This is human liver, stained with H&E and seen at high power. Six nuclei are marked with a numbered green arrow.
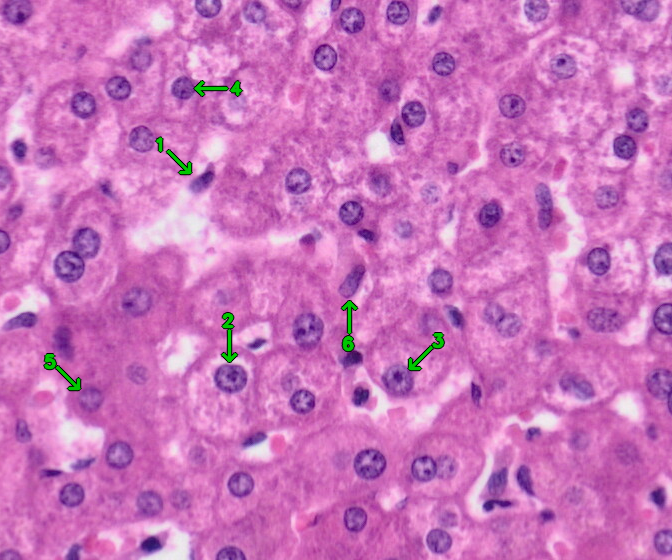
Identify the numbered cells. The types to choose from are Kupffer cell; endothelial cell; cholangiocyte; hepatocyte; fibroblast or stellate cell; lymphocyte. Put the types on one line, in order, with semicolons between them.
Kupffer cell; hepatocyte; hepatocyte; hepatocyte; hepatocyte; Kupffer cell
